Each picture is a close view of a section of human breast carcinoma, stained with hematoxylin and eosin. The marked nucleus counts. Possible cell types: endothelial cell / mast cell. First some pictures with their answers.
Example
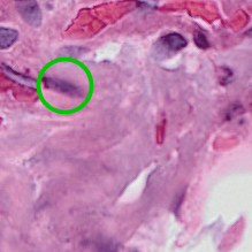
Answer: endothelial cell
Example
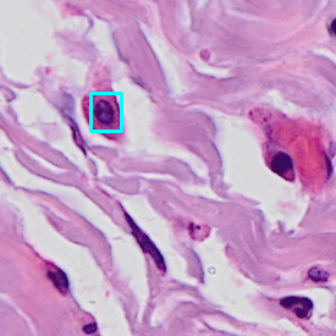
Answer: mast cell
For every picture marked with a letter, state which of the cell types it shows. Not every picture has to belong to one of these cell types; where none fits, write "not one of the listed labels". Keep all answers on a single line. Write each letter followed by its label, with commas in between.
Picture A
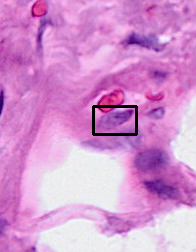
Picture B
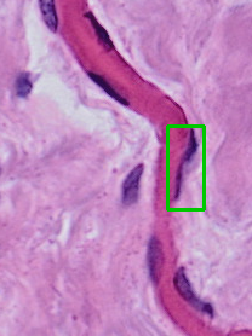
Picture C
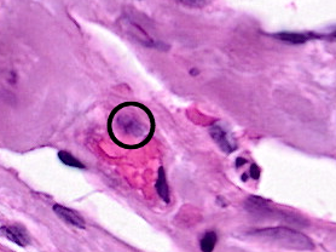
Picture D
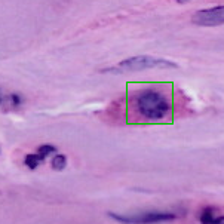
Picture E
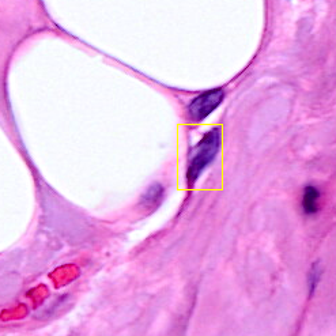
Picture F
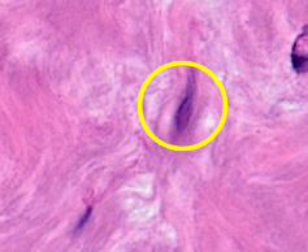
A endothelial cell, B endothelial cell, C endothelial cell, D mast cell, E not one of the listed labels, F not one of the listed labels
